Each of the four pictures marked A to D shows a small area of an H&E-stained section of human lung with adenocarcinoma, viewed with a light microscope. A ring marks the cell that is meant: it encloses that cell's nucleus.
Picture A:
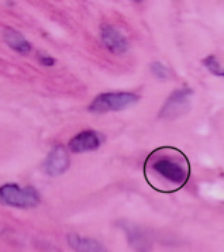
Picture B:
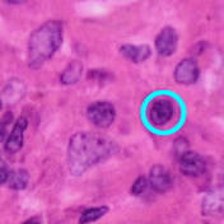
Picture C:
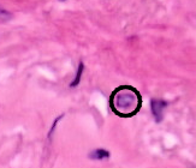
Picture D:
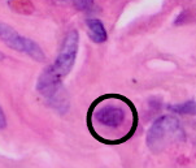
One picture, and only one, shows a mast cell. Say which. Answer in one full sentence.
Picture C is the one that shows the mast cell.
